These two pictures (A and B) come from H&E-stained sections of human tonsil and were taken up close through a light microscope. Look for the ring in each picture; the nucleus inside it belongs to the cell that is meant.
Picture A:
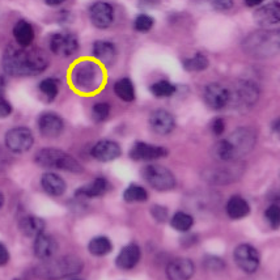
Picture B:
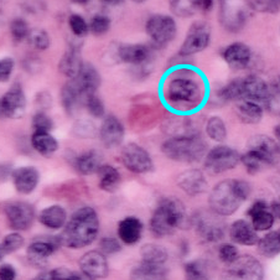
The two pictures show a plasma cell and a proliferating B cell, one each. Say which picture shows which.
A: plasma cell
B: proliferating B cell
